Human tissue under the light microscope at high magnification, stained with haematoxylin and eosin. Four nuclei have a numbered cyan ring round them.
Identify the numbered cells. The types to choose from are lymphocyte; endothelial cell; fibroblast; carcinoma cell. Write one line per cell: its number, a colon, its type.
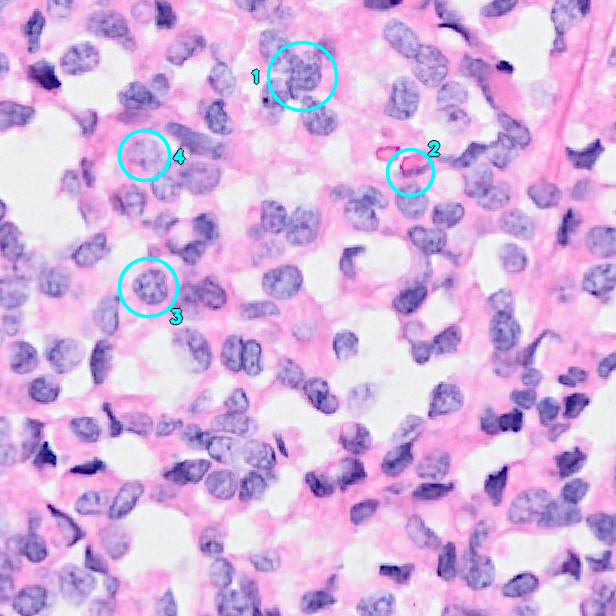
1: carcinoma cell
2: endothelial cell
3: carcinoma cell
4: carcinoma cell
